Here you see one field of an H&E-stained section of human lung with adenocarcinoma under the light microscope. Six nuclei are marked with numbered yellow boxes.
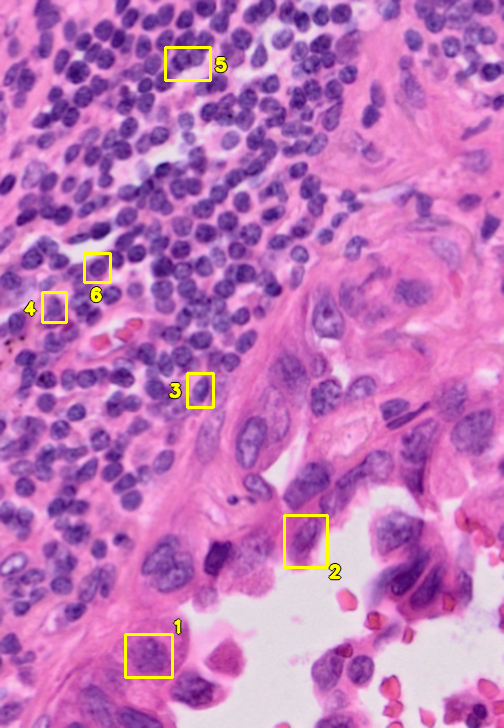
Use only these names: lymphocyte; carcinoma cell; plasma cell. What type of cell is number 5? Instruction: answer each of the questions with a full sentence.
To a lymphocyte belongs the nucleus marked 5.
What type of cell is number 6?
The numbered cell 6 in this field is a lymphocyte.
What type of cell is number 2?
Identified as a carcinoma cell is the cell bearing the number 2.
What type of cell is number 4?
Corresponding to a lymphocyte is the cell labelled 4.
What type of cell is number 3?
The one labeled 3 is a lymphocyte, to put it simply.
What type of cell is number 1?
The cell marked with number 1 is a carcinoma cell.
